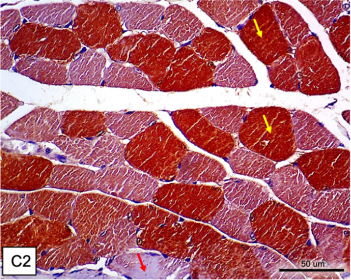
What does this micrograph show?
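This is skeletal muscle cut across, showing a field of polygonal muscle fibres packed into bundles. Most fibres are filled with a dark reddish brown stain, while a minority are paler and more pinkish. The cytoplasm has a fine fibrillar, slightly speckled texture. Small dark blue nuclei lie flattened at the edges of the fibres rather than in their centres. Clear white gaps run between groups of fibres where the tissue has separated during processing.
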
